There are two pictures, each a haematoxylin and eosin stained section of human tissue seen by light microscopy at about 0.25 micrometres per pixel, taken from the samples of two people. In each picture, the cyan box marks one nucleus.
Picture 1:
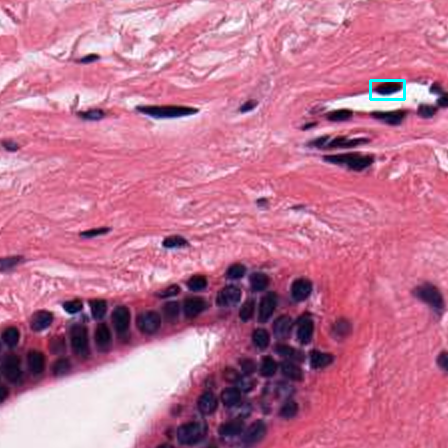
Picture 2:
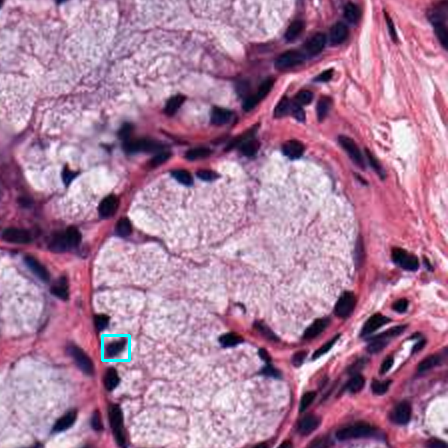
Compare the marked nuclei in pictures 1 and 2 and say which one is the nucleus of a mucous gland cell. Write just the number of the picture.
2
